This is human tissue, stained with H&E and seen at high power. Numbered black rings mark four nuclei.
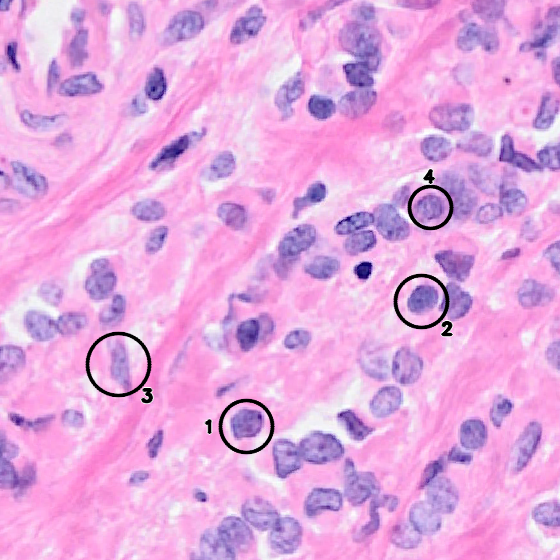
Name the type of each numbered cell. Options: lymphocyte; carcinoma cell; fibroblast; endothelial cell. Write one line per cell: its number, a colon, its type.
1: carcinoma cell
2: carcinoma cell
3: fibroblast
4: carcinoma cell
